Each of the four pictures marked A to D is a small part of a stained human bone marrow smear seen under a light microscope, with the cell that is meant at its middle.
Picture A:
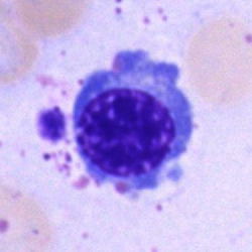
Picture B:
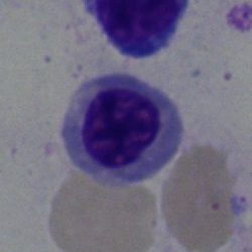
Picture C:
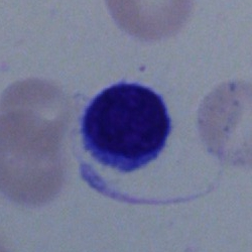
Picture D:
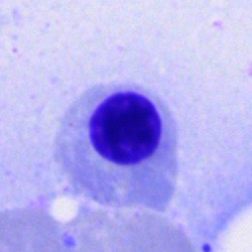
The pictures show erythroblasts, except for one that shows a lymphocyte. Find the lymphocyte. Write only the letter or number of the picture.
C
